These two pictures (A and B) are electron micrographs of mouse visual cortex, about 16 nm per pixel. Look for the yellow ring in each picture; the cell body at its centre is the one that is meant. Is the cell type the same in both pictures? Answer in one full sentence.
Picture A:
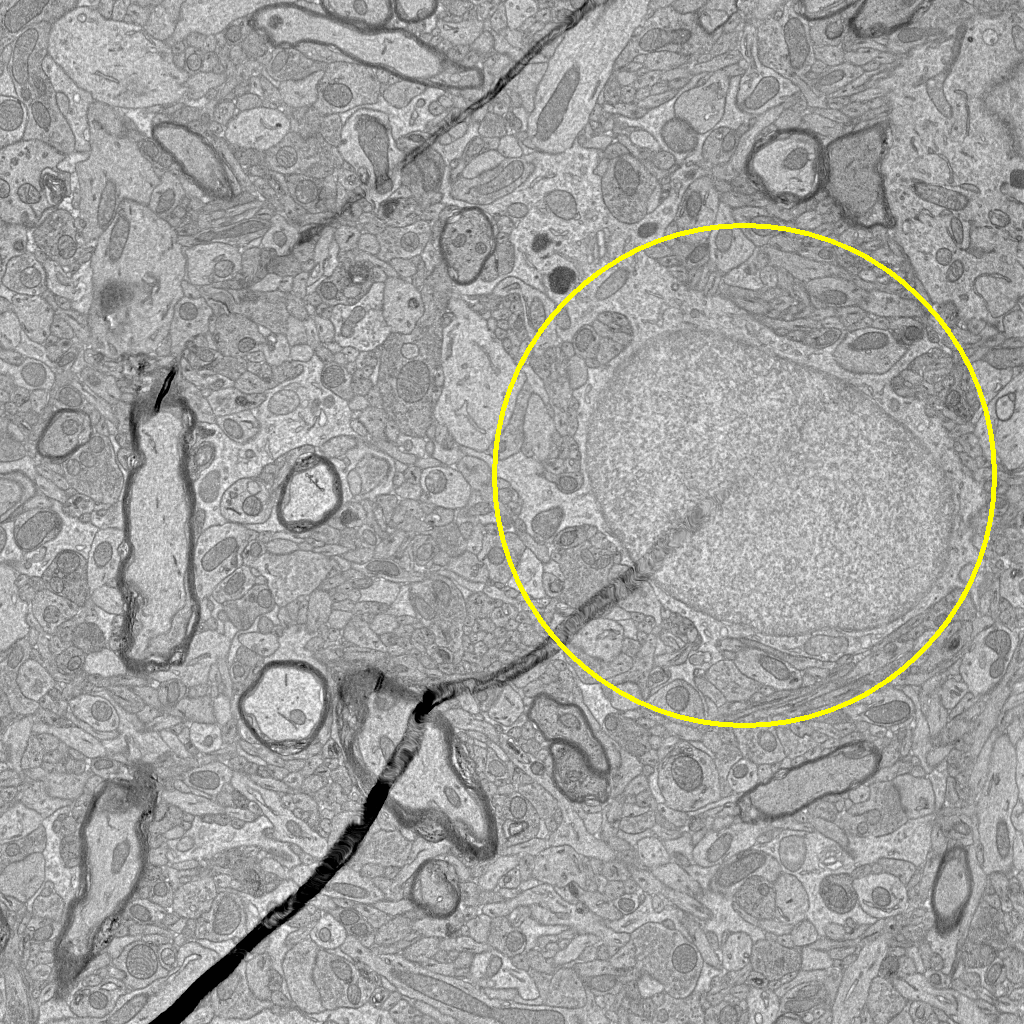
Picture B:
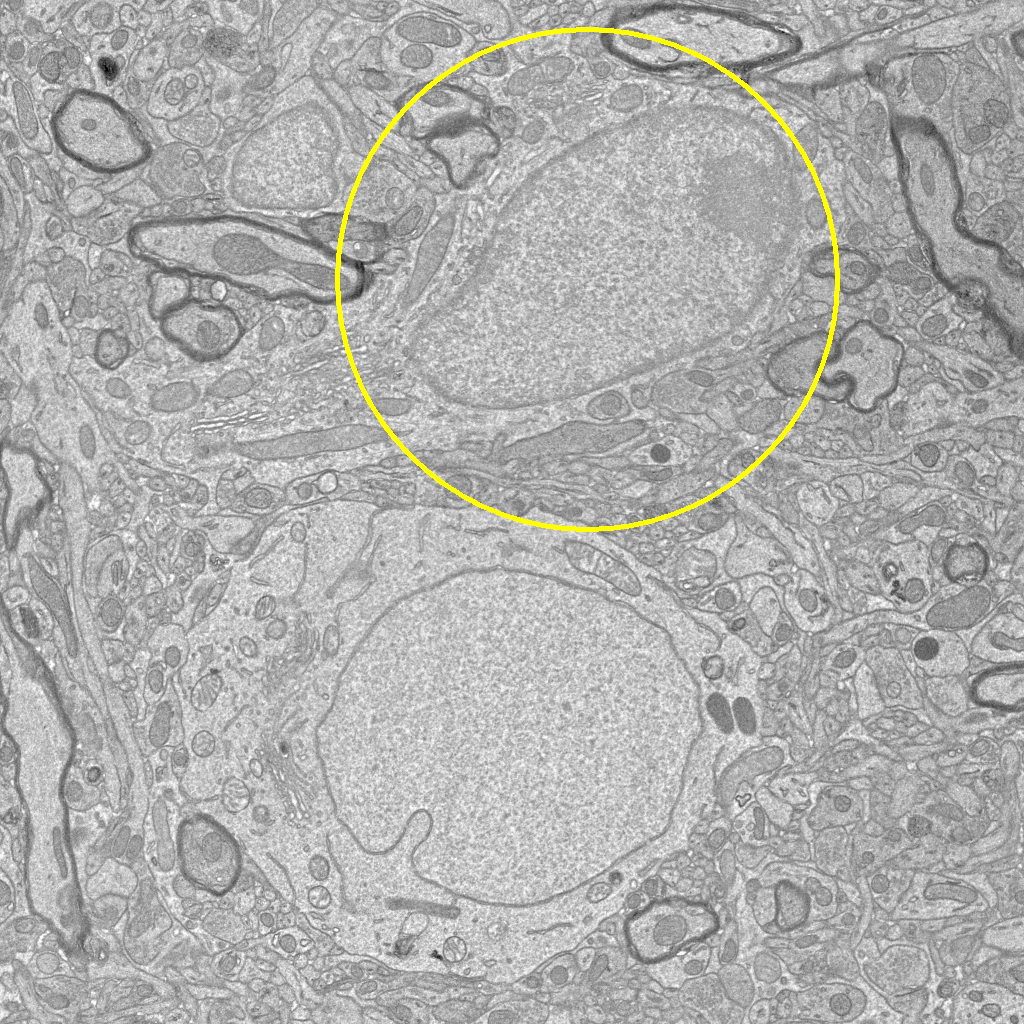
Yes, the two pictures both show astrocytes.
